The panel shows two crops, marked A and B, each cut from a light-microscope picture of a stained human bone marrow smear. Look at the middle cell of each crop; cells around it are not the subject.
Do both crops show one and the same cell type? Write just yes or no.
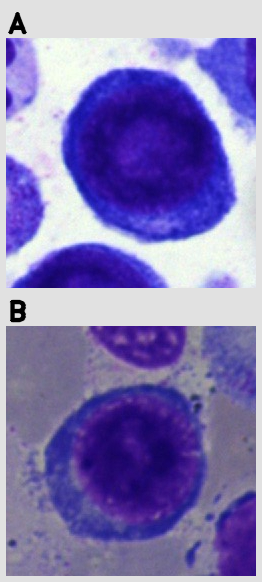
yes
